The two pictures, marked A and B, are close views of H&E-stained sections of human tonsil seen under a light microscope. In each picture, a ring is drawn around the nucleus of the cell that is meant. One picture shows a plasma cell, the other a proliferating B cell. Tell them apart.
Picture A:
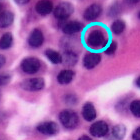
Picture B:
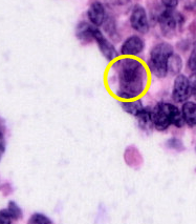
A: plasma cell
B: proliferating B cell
